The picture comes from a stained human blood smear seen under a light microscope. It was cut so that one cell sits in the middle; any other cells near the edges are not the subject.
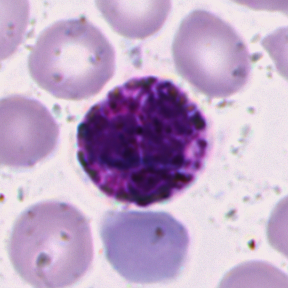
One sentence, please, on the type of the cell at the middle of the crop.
Framed in the middle of the crop is a basophil.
